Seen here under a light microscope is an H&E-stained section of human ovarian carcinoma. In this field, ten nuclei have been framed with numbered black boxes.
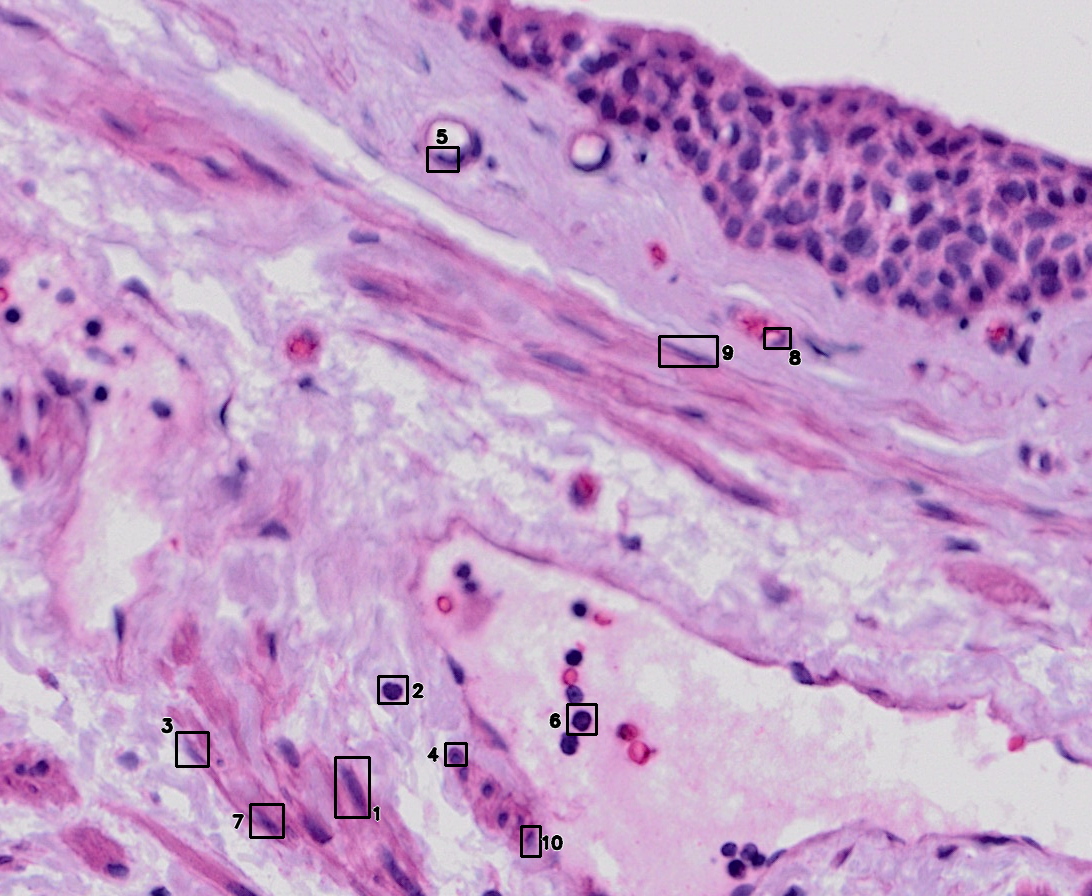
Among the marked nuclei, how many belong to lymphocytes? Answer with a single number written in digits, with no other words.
2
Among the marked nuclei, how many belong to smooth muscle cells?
6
